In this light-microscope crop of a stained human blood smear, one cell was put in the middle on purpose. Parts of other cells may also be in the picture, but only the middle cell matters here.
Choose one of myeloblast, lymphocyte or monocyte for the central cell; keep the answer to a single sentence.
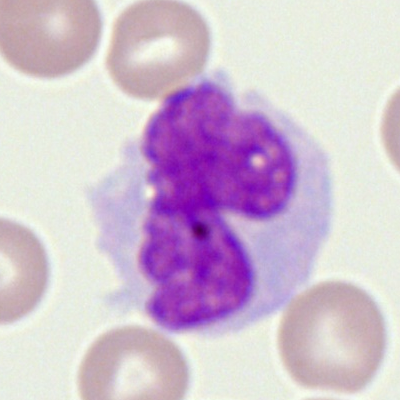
Looking at the middle of the crop, the cell there is a monocyte.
